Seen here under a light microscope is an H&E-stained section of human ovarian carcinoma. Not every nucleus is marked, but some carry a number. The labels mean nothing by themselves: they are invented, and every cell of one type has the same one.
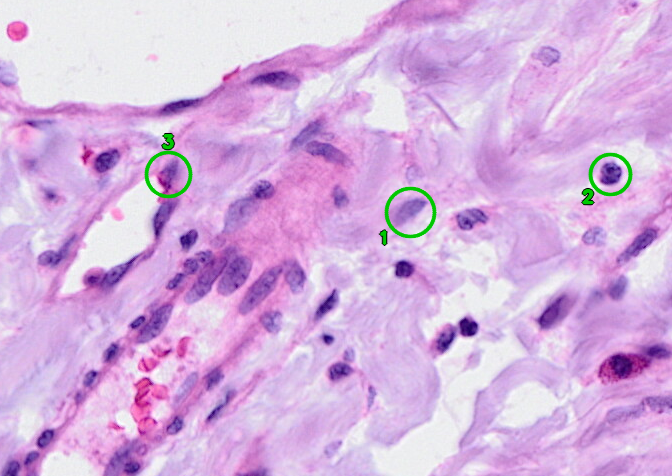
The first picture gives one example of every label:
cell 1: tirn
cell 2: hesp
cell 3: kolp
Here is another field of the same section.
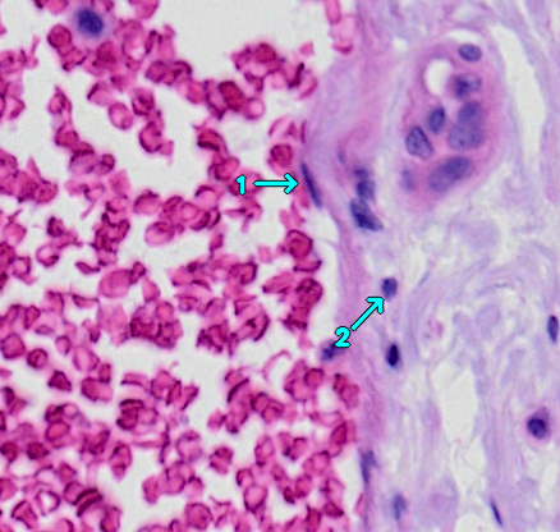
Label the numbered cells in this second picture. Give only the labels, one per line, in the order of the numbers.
kolp
hesp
